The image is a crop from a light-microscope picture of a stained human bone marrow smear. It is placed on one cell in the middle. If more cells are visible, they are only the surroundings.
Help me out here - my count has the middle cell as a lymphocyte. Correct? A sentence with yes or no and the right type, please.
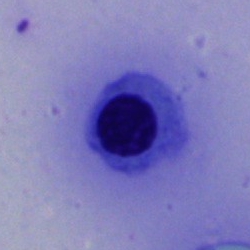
No, the cell at the centre is identified as a normoblast, not as a lymphocyte.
